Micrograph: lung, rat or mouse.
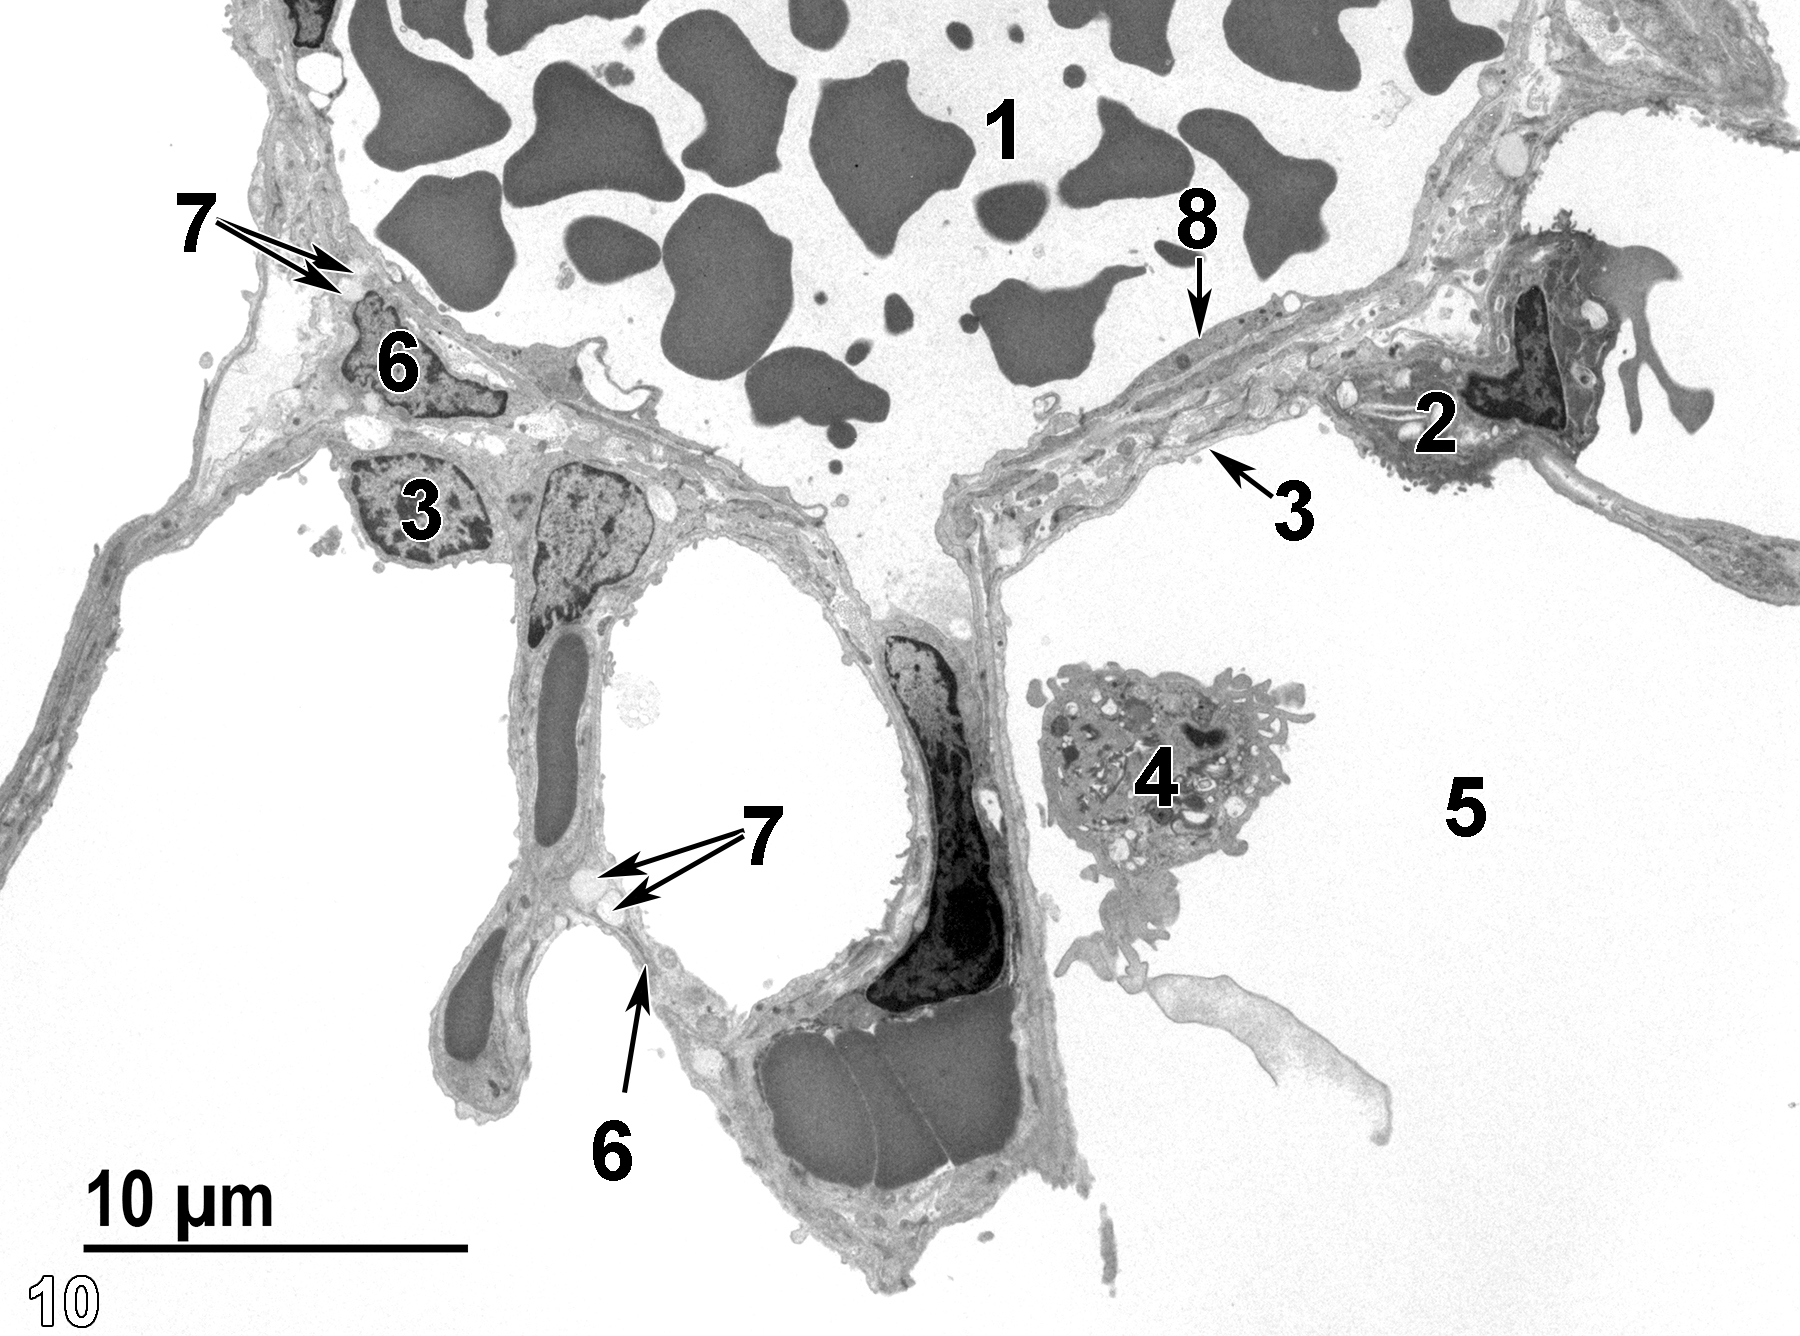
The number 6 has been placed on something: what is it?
Lipofibroblasts.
